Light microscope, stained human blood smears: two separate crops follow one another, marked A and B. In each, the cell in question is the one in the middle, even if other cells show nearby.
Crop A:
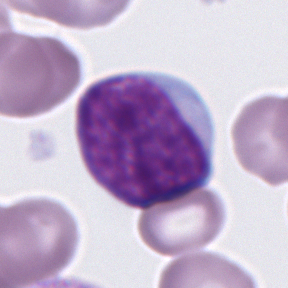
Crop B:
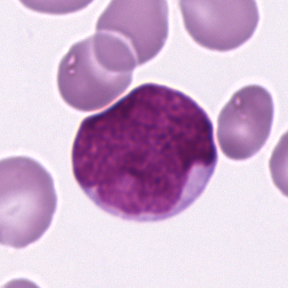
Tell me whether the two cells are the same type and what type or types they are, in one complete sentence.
Yes, in both of the crops, the central cells are myeloblasts.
